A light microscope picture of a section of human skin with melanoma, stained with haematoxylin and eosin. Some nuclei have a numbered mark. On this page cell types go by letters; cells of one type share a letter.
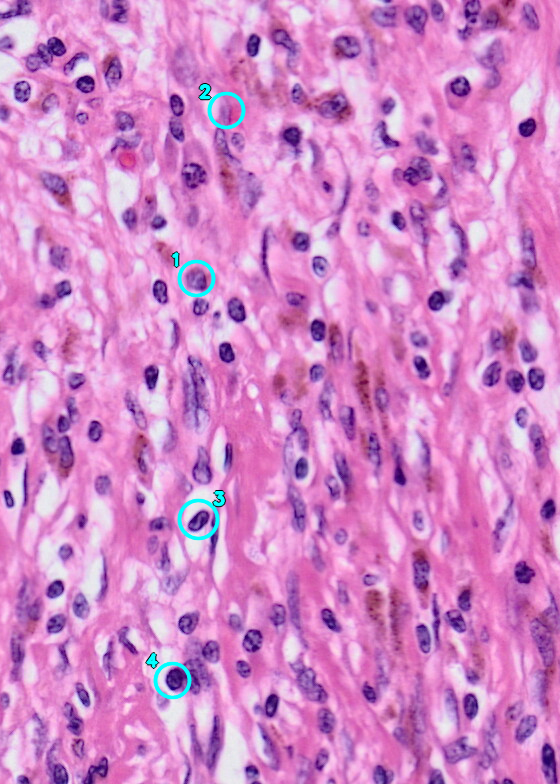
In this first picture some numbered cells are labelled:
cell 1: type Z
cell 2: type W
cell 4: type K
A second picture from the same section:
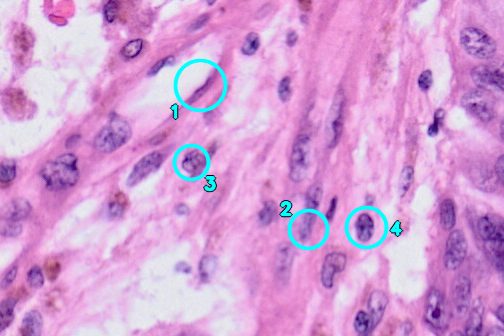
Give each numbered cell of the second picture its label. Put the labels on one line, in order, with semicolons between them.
type W; type W; type Z; type K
